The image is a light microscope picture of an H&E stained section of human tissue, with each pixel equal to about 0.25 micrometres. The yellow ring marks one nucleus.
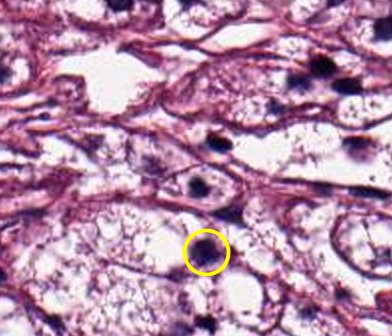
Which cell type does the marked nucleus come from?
adrenal cortical cell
